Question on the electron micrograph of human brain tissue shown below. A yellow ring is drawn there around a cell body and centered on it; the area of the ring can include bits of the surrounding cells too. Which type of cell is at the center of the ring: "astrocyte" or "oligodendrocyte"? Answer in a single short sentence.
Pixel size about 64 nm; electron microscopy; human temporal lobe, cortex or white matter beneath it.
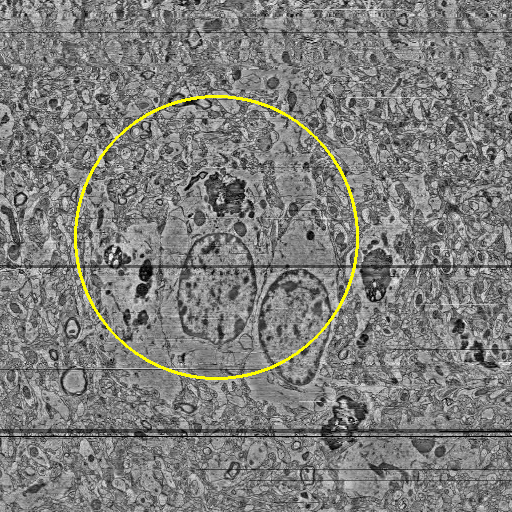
The ring is centered on an astrocyte.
